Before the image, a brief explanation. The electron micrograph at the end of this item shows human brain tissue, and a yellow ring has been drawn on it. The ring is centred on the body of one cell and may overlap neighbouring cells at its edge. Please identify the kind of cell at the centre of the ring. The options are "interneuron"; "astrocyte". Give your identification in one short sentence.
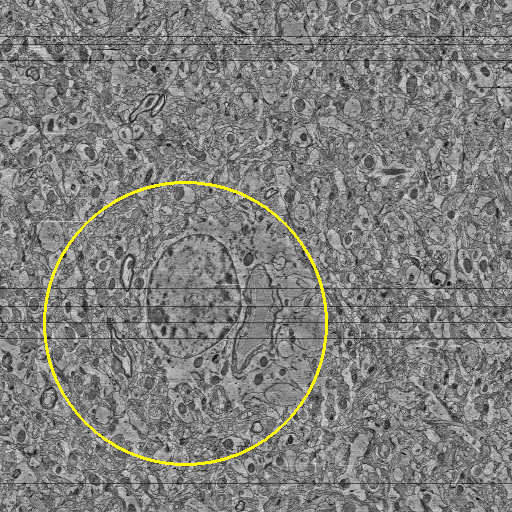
The ring has been placed around an astrocyte.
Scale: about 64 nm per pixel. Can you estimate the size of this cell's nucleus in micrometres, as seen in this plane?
In this plane, the nucleus is roughly 8 by 6 micrometres.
